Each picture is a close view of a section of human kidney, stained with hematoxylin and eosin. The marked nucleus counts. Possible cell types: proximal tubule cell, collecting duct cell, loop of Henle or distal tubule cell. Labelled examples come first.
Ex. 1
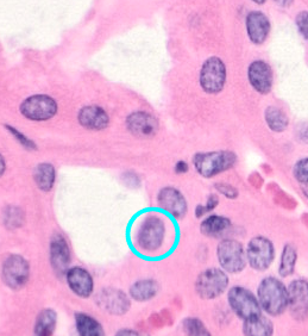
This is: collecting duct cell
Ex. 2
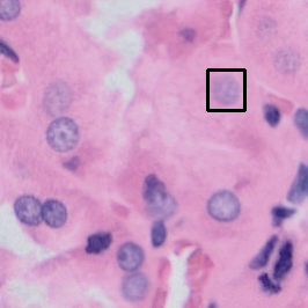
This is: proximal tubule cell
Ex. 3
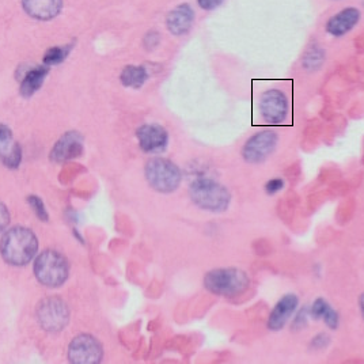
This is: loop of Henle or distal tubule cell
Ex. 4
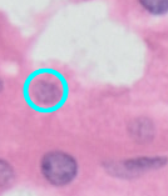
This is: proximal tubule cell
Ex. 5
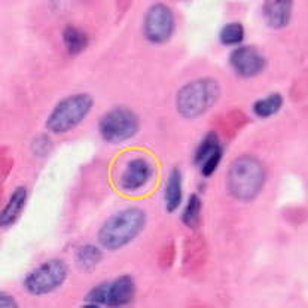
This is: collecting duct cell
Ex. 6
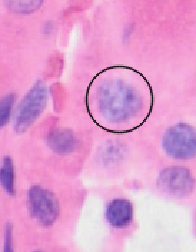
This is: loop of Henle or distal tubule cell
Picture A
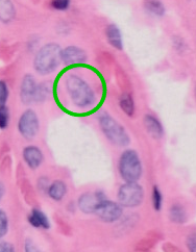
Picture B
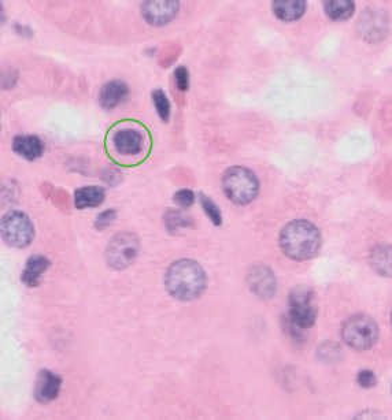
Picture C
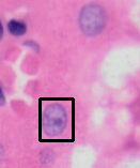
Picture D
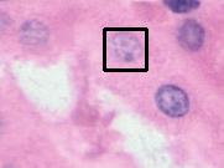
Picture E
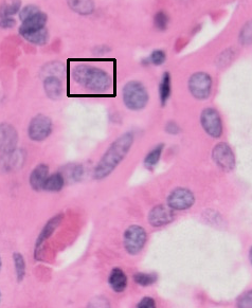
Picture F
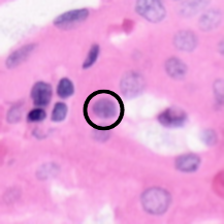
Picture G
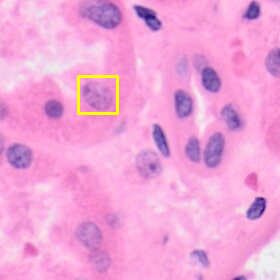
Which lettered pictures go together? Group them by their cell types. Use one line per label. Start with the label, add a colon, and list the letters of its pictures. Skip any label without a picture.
proximal tubule cell: C, D, G
collecting duct cell: A, E
loop of Henle or distal tubule cell: B, F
